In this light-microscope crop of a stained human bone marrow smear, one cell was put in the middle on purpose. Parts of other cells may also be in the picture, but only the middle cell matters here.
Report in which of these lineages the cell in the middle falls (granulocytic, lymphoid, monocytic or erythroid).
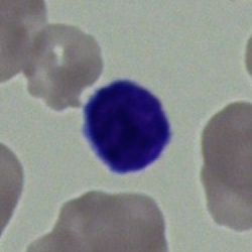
lymphoid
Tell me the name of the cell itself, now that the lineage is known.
lymphocyte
